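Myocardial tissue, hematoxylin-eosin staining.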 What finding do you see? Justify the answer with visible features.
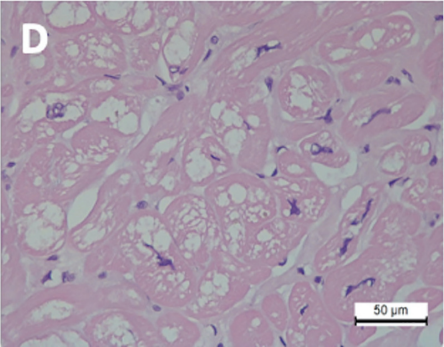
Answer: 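Vacuolization. Cross-sectioned muscle fibers are filled with many clear, empty-looking spaces. The pink cytoplasm is reduced to a lacy network between these spaces. Fibers look large relative to the 50 µm scale bar.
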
